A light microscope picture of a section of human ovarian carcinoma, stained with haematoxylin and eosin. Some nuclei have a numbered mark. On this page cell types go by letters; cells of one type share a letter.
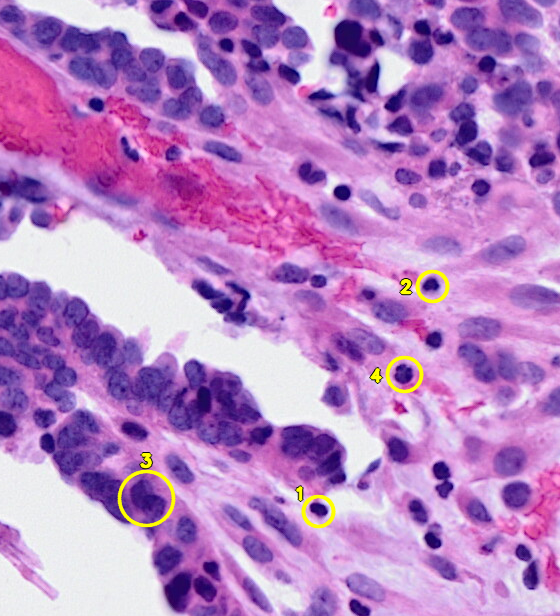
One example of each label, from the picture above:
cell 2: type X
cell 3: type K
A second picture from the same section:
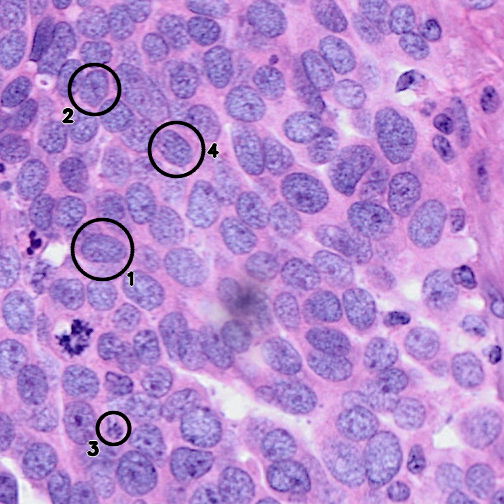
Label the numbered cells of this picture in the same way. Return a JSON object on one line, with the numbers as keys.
{"1": "type K", "2": "type K", "3": "type X", "4": "type K"}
